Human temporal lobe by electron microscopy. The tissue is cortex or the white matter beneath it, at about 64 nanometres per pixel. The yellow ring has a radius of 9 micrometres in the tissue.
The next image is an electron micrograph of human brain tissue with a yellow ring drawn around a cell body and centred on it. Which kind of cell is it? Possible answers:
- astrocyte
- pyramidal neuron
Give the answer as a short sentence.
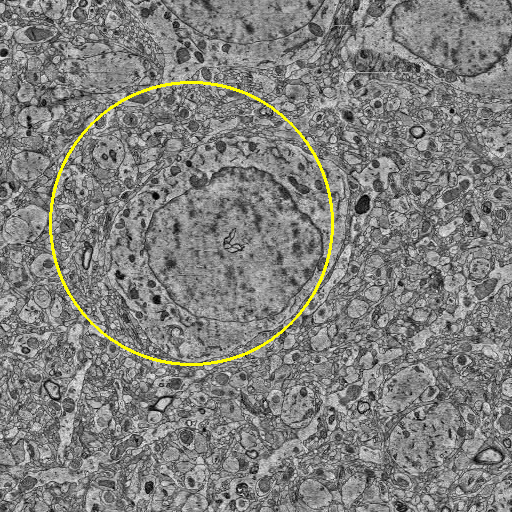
In the ring's centre is a pyramidal neuron.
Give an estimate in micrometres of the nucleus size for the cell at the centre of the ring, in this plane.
The nucleus measures about 11 micrometers across in this plane.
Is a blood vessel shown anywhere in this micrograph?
No, a blood vessel is absent from this picture.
